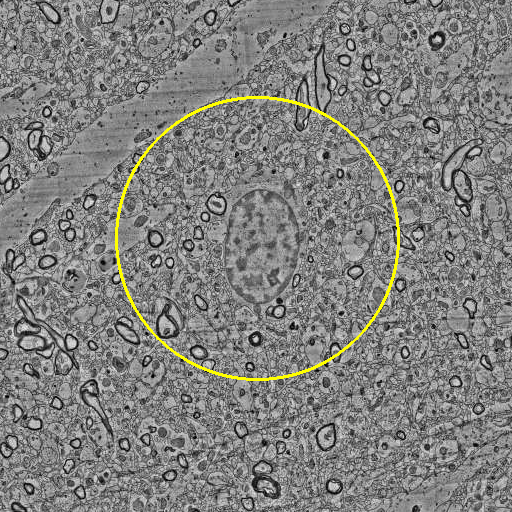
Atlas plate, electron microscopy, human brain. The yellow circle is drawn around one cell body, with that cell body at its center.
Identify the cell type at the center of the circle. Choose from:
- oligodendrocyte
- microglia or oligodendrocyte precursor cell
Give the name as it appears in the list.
oligodendrocyte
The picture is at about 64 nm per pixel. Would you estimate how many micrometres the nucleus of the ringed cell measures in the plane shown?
Approximately 7 by 5 micrometers, which makes the nucleus clearly longer than it is wide in this plane.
